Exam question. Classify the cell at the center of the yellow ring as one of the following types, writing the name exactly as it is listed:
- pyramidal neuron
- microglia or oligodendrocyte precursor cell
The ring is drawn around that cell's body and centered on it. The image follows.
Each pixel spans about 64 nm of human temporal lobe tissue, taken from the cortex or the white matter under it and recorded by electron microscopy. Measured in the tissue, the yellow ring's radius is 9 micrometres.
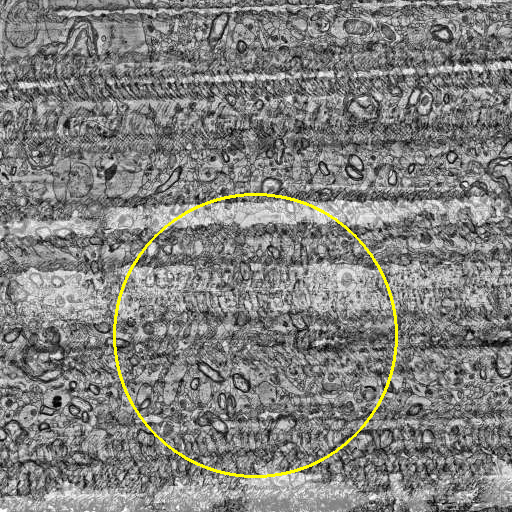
microglia or oligodendrocyte precursor cell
